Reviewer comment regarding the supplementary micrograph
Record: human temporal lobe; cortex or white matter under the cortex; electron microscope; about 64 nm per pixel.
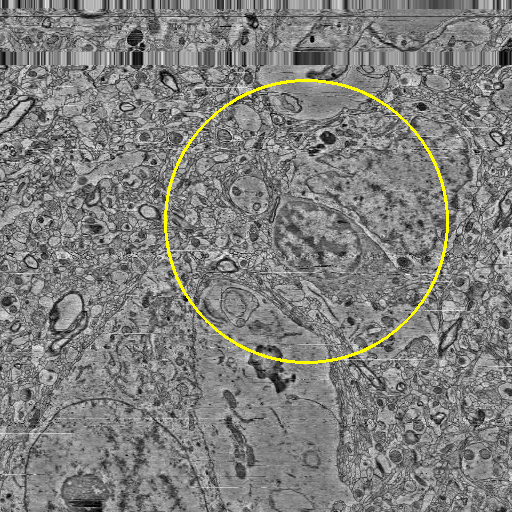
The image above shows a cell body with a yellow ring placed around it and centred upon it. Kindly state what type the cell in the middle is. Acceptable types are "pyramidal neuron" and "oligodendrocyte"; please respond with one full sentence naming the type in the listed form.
In the image above, the cell on which the yellow ring is centred is an oligodendrocyte.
